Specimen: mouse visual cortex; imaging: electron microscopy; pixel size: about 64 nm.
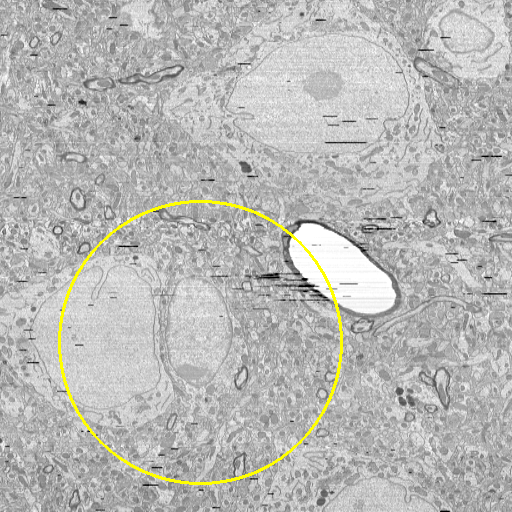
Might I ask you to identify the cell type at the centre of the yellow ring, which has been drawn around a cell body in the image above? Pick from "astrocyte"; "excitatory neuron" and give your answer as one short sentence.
The centre of the ring falls on an astrocyte.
